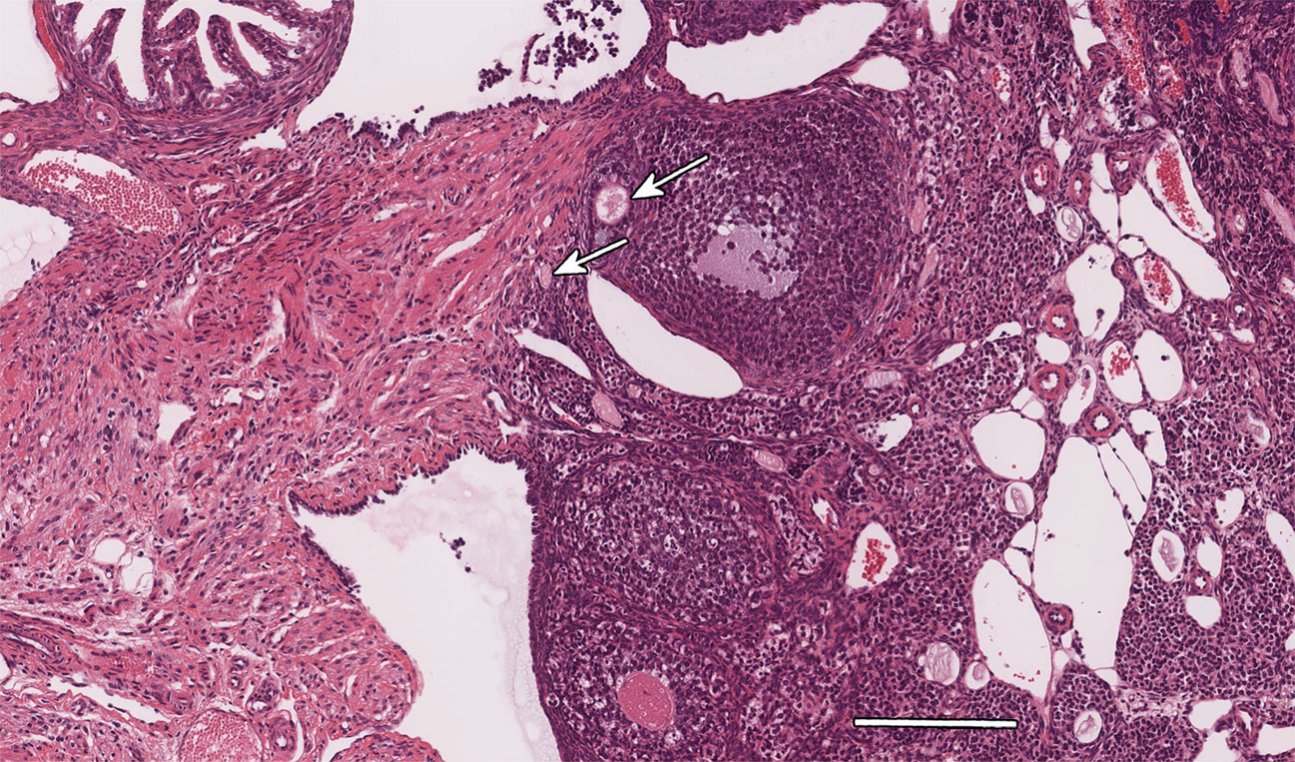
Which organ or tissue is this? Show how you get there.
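Large rounded follicles have many layers of small dark cells. One follicle has a central pale pink fluid-filled cavity. A large round pink cell lies inside a follicle near the bottom.
Answer: ovary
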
